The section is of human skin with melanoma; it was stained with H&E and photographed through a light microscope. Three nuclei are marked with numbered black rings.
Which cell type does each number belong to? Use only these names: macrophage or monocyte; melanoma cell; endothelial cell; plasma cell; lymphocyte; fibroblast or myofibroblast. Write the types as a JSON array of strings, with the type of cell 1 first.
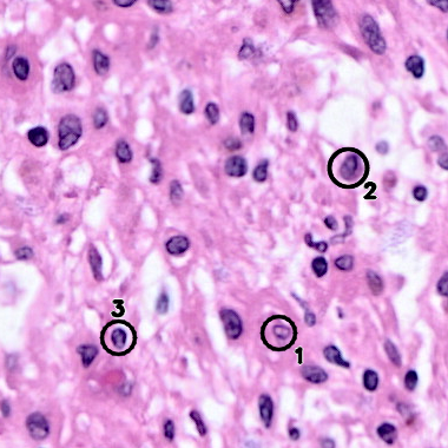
["endothelial cell", "macrophage or monocyte", "lymphocyte"]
